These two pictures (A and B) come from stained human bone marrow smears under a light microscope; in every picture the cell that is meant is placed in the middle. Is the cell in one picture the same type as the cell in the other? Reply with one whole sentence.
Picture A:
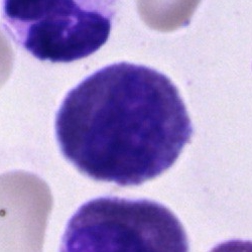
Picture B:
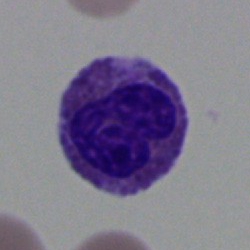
Yes; the cells in both pictures are eosinophils.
